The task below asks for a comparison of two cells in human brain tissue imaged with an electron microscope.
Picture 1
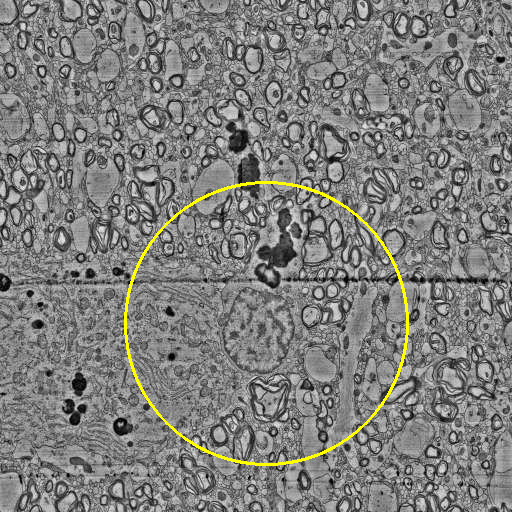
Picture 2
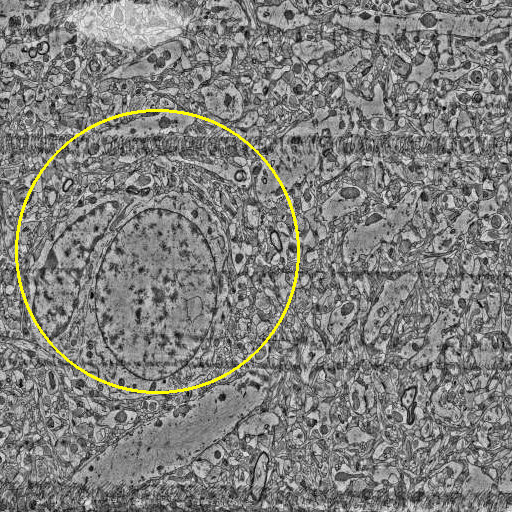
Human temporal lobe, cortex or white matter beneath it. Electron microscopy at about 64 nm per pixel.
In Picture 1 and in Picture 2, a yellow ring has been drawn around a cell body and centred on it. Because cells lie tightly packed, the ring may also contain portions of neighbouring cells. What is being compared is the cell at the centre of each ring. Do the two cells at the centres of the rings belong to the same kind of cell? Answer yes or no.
no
